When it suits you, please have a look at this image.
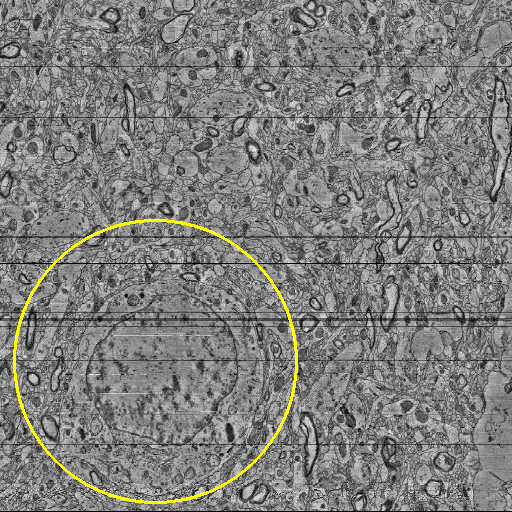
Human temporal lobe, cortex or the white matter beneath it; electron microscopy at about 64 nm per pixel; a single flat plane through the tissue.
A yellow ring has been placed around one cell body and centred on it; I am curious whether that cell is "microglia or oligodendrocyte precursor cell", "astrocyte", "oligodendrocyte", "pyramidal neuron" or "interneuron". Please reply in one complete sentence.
The ringed cell, a pyramidal neuron, has its body at the centre of the yellow ring.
